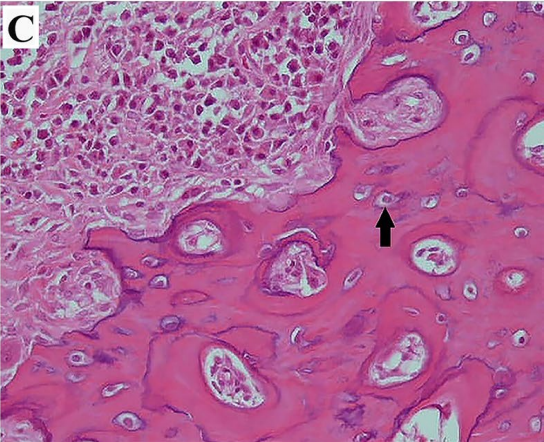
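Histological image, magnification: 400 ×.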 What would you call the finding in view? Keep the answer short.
Vital bone tissue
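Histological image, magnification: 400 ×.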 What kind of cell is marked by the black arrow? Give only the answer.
osteocytes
